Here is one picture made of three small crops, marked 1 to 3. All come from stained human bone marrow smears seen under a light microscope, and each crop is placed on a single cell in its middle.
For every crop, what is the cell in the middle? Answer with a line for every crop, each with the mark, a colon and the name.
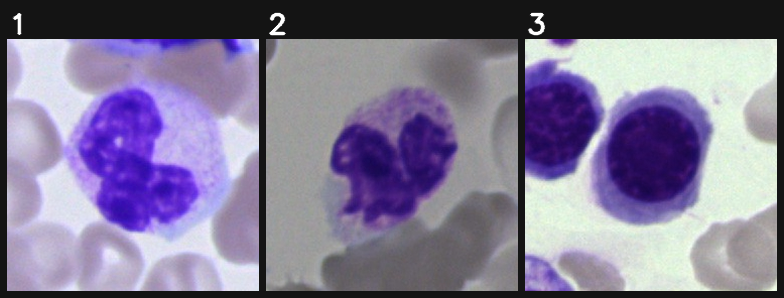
1: segmented neutrophil
2: band neutrophil
3: normoblast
